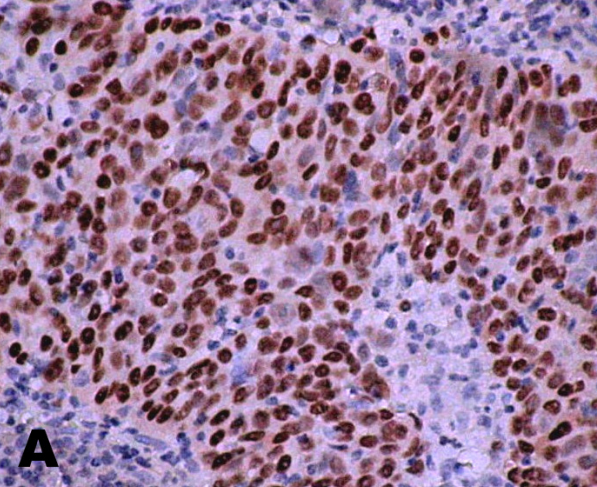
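The cells lie in a disorderly, streaming arrangement without the orderly layering of a normal lining. At the edges, especially toward the lower left and the centre right, smaller cells with blue, unstained nuclei sit in looser tissue around the tumour sheets.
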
